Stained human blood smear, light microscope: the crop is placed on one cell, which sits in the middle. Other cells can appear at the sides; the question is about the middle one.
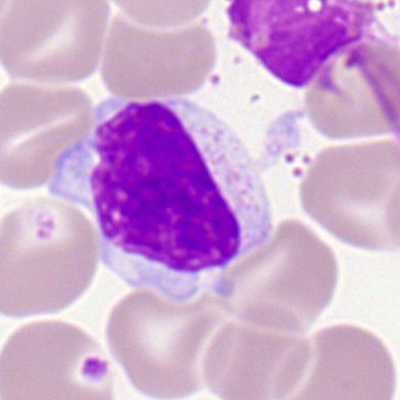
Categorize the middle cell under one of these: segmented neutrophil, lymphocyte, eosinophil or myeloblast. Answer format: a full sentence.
The cell of interest, in the center, is a lymphocyte.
